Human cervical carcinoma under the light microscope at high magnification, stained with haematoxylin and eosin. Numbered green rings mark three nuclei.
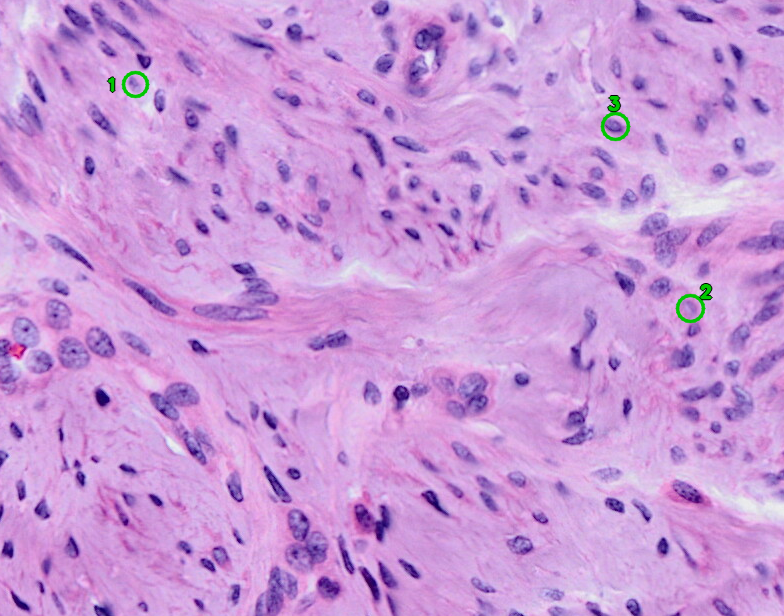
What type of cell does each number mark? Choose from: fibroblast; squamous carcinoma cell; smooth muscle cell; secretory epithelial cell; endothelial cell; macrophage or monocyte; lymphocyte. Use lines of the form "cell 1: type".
cell 1: fibroblast
cell 2: smooth muscle cell
cell 3: smooth muscle cell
